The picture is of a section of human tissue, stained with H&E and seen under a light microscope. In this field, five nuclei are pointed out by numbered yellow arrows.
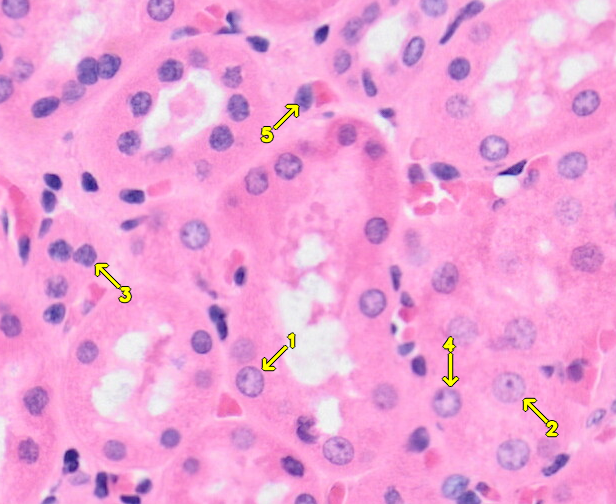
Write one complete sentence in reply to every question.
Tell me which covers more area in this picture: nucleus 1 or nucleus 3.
Number 1 is larger; its area is about 1.5 times that of number 3.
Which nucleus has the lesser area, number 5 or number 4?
Number 5 is smaller, since number 4 takes up about 1.5 times as much area.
